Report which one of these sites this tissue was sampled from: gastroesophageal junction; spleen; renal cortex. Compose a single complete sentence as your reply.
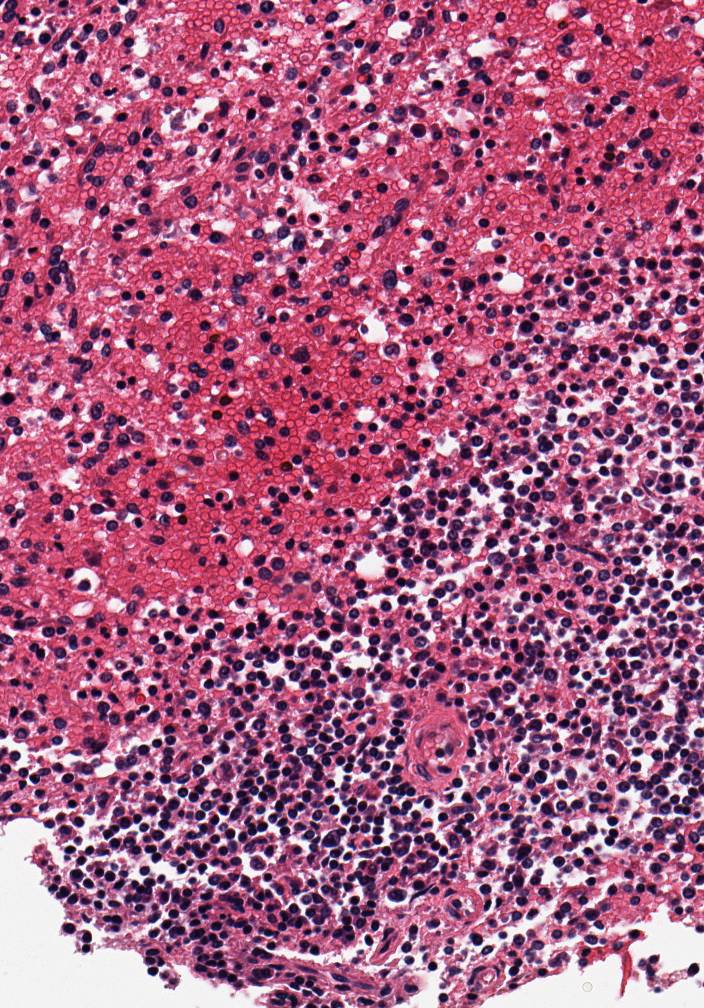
What this section contains is tissue from the spleen.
